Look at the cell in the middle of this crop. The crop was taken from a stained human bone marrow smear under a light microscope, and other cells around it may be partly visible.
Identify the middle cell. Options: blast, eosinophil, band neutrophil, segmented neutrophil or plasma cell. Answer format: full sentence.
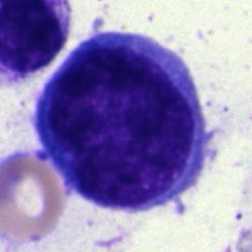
The cell marked by its central position in the crop is a blast.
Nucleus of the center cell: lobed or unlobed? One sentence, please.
Please observe that the nucleus consists of one compact round, oval or kidney-shaped mass.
